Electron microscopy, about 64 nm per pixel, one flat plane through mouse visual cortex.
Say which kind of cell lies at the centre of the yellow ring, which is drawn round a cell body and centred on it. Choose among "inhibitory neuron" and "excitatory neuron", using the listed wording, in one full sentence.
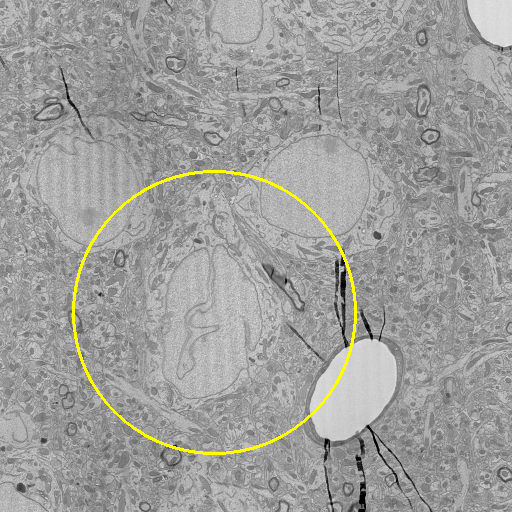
Going by the list, the cell at the yellow ring's centre is an inhibitory neuron.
